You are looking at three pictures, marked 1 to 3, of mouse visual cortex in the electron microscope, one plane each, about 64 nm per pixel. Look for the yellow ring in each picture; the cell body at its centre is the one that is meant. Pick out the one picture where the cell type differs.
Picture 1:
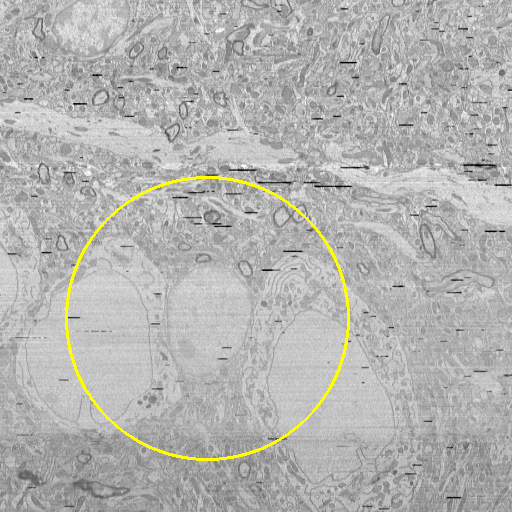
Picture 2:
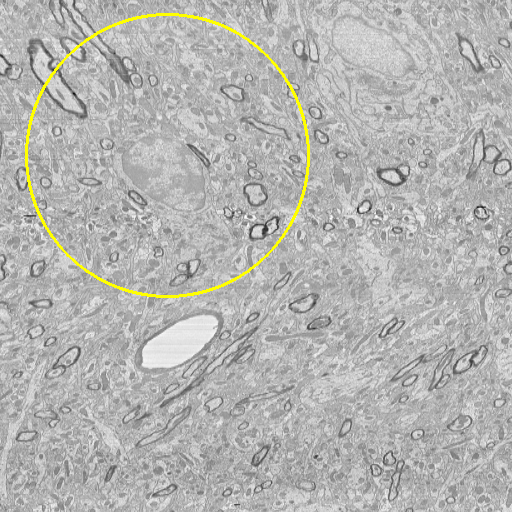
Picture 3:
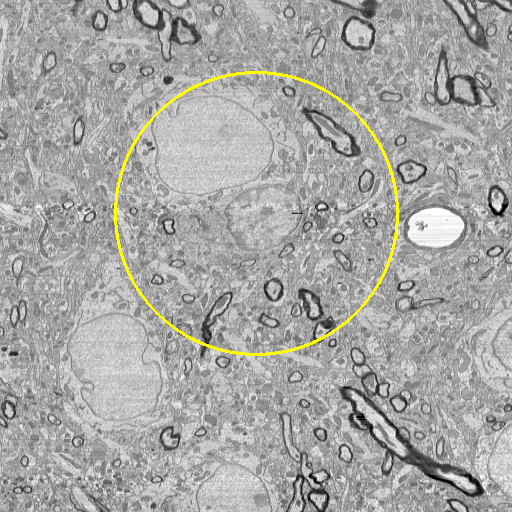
The different one is picture 1; it shows an astrocyte, whereas all the others show oligodendrocytes.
